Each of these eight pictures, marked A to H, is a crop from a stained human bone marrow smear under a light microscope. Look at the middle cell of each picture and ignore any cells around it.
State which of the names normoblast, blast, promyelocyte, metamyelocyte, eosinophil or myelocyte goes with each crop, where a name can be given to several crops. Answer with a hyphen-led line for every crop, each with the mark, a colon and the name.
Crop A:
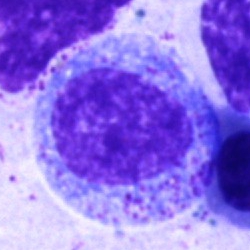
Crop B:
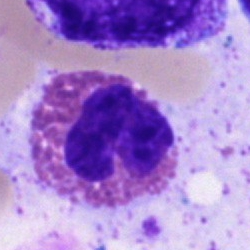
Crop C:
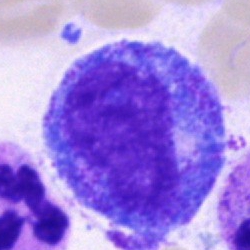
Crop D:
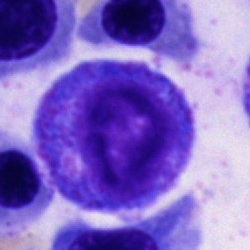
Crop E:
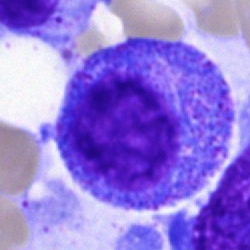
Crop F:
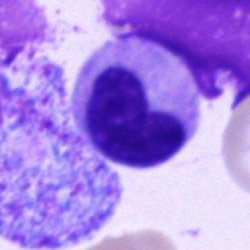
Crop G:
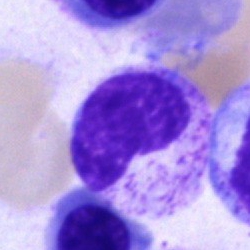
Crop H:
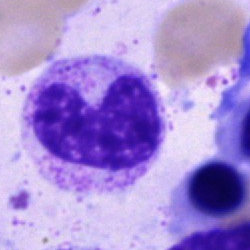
- A: promyelocyte
- B: eosinophil
- C: promyelocyte
- D: promyelocyte
- E: promyelocyte
- F: metamyelocyte
- G: metamyelocyte
- H: metamyelocyte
